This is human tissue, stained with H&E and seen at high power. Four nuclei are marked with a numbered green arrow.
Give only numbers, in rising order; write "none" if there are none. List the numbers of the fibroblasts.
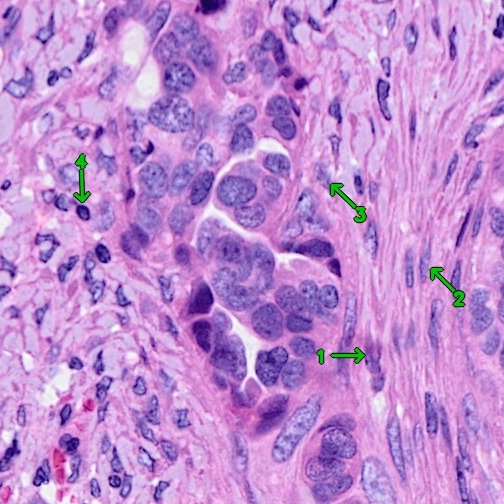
1, 2, 3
